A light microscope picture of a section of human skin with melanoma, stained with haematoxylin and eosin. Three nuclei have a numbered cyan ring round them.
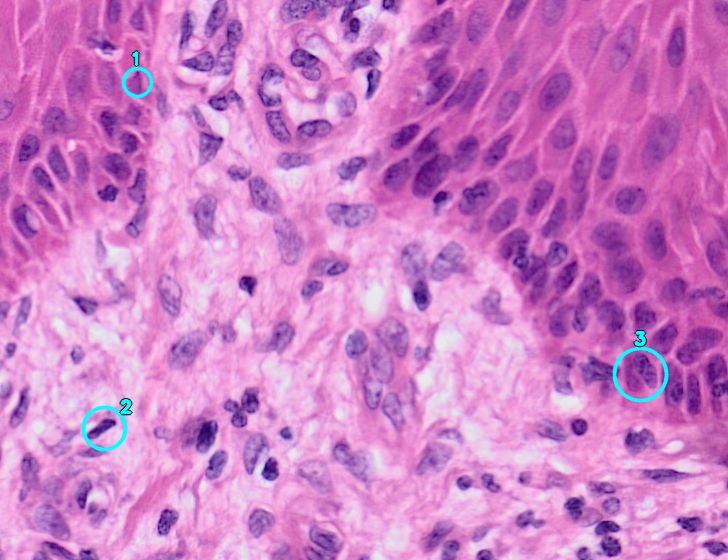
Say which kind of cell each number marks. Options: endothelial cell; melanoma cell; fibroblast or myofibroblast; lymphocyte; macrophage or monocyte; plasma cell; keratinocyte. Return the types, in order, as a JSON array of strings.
["keratinocyte", "lymphocyte", "keratinocyte"]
